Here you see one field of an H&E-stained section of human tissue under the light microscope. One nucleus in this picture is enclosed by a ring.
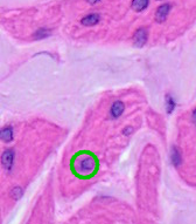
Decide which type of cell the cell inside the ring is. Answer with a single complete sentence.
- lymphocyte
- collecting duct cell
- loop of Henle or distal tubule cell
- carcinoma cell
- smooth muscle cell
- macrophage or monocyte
As far as its identity is concerned, the cell inside the ring is a smooth muscle cell.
